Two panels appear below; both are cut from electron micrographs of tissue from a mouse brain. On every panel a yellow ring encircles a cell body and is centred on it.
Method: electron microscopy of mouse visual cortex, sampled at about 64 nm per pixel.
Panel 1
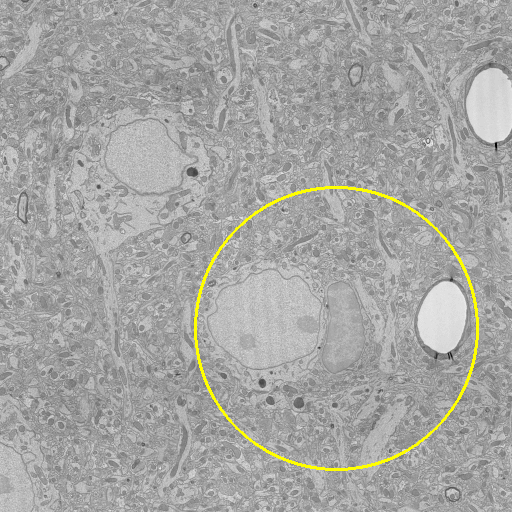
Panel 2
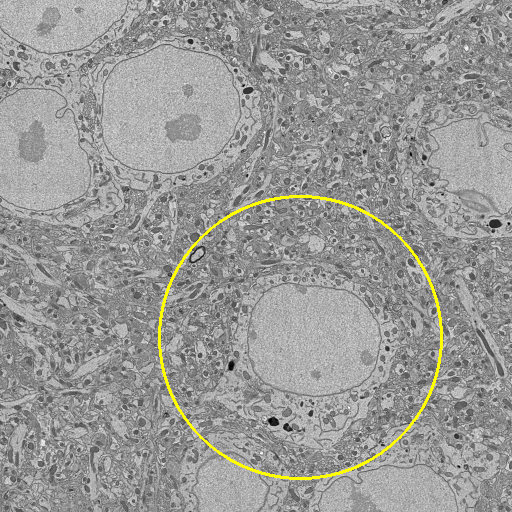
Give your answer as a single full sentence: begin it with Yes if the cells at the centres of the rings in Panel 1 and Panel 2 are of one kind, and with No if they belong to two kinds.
No, the cells in the middle of the rings in Panels 1 and 2 are of two kinds.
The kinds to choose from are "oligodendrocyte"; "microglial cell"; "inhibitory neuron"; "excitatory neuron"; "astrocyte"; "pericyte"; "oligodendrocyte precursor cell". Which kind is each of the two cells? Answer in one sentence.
Of the two, the first cell is a microglial cell and the second cell is an excitatory neuron.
